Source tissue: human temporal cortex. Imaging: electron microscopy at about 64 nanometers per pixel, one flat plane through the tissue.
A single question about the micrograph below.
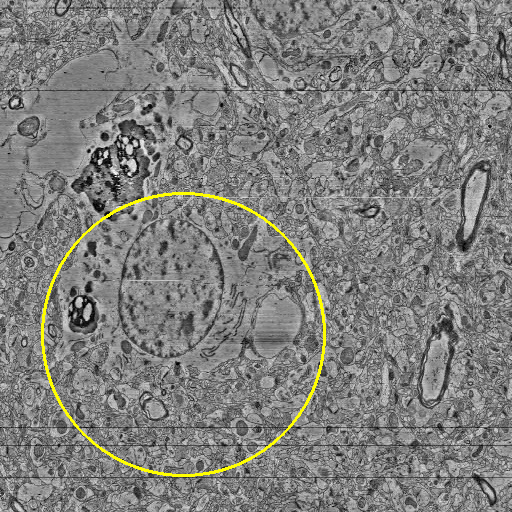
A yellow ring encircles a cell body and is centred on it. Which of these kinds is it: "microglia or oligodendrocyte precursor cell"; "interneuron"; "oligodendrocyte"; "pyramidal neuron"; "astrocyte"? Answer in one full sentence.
The cell body at the centre of the yellow ring belongs to an astrocyte.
